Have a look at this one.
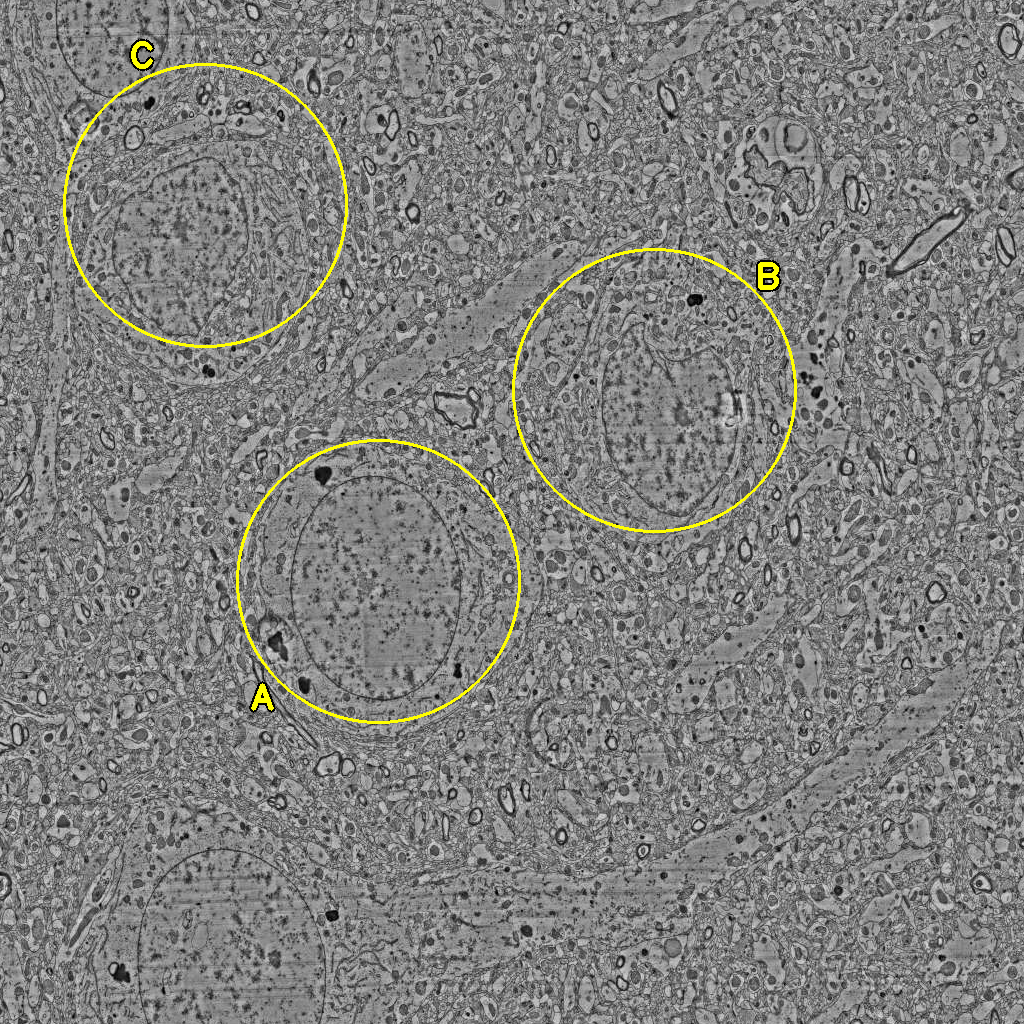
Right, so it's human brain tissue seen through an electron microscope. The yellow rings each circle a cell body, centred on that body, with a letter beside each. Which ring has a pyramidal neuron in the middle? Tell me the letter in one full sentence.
That kind of cell is sitting in the middle of ring A there.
